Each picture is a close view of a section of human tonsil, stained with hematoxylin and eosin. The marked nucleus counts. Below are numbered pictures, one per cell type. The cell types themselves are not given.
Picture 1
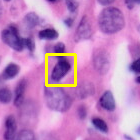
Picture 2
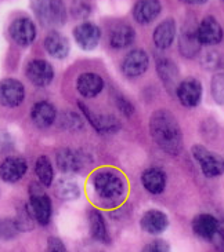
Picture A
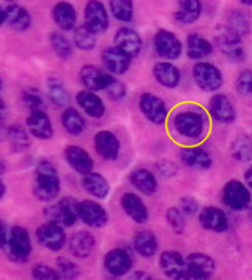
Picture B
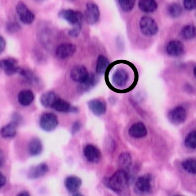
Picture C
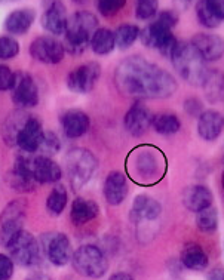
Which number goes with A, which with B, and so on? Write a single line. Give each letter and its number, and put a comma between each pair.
A 2, B 2, C 1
